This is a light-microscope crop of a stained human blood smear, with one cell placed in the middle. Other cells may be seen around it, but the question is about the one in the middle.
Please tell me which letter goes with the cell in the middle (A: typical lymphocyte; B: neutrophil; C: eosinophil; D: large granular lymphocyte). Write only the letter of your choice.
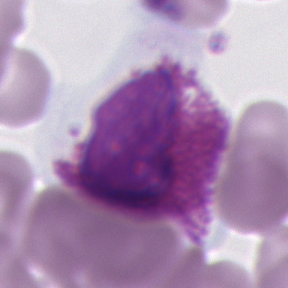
C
